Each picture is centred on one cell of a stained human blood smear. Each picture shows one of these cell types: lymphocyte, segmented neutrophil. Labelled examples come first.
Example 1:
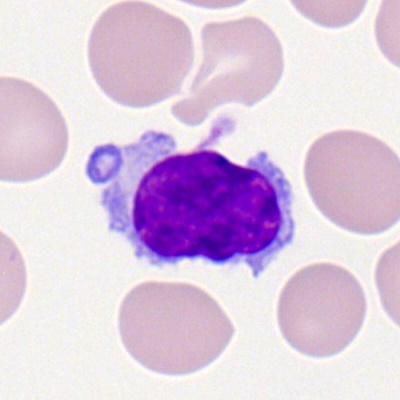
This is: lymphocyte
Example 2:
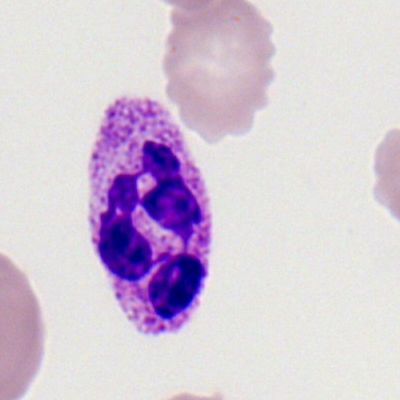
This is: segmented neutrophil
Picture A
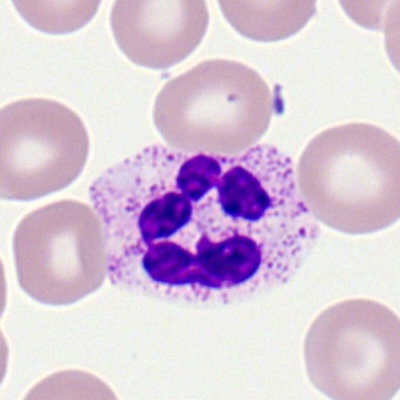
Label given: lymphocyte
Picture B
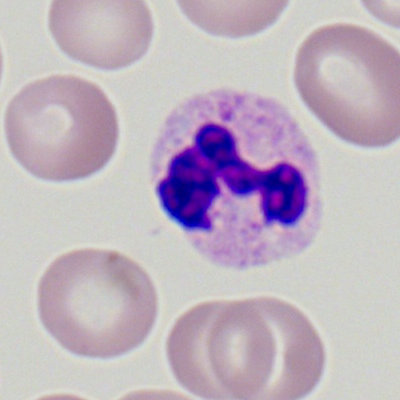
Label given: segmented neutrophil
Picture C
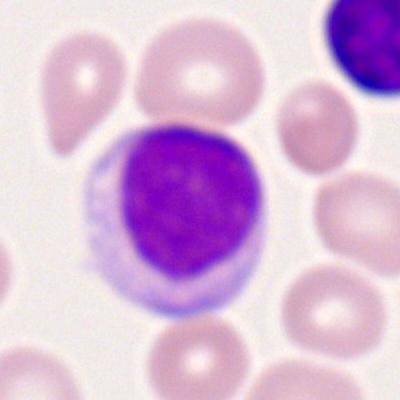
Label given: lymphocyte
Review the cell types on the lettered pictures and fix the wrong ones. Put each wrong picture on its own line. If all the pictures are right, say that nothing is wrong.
Wrong: A (lymphocyte); correct: segmented neutrophil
